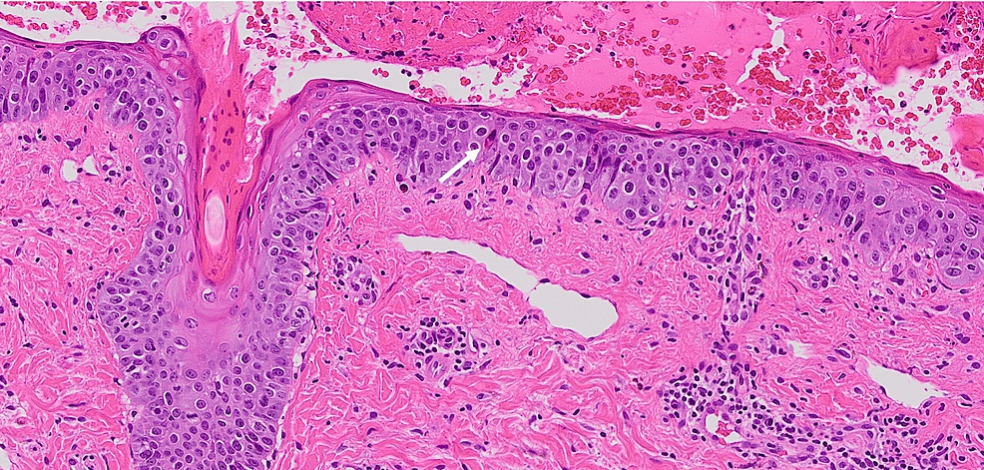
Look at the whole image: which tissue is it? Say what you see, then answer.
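A stratified squamous epithelium lies over pink fibrous connective tissue. A hair follicle with a pink keratin plug dips down from the surface at left.
Conclusion: skin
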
